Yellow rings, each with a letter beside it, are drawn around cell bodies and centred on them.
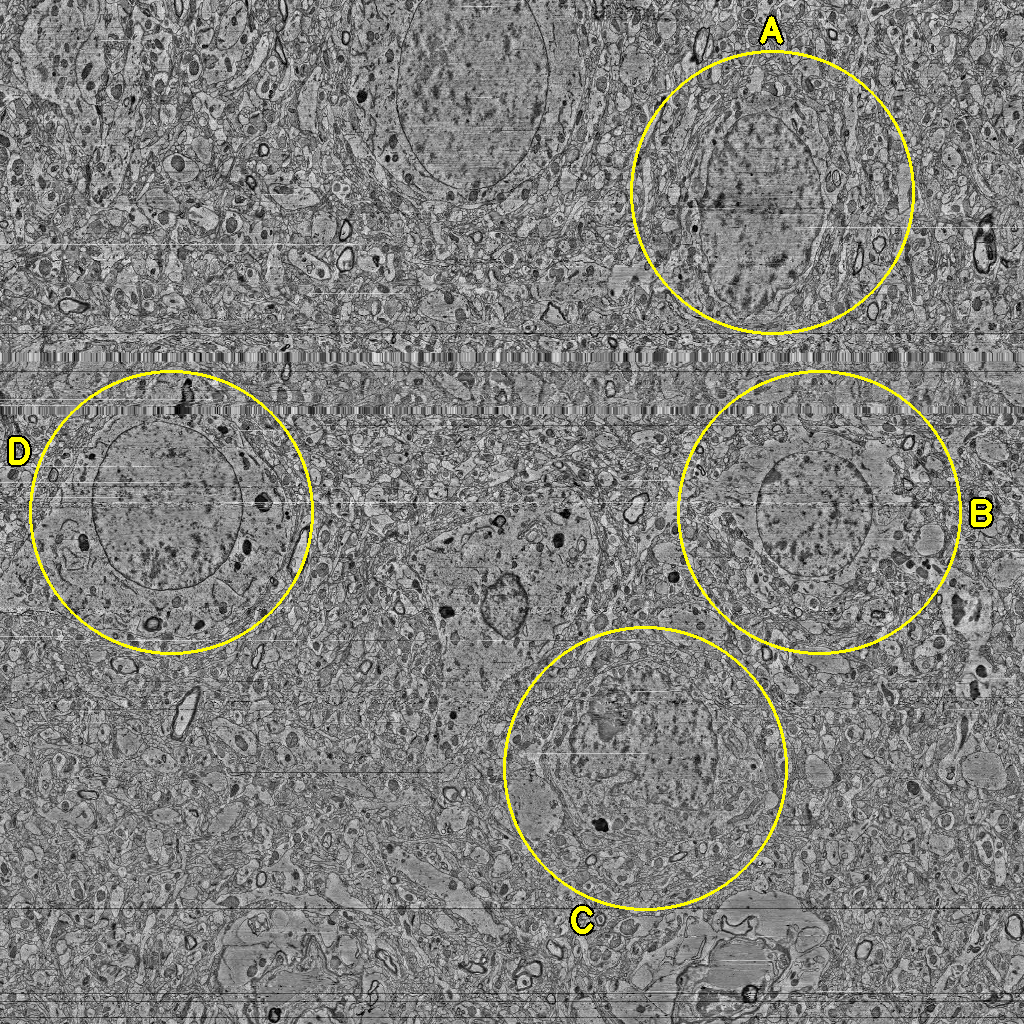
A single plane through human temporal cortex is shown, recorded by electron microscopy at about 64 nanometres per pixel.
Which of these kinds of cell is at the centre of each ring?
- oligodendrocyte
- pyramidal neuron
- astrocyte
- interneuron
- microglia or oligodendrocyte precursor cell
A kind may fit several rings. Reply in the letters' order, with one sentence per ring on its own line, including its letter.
The cell in the middle of ring A is an interneuron.
The cell in the middle of ring B is an astrocyte.
The cell in the middle of ring C is an interneuron.
The cell in the middle of ring D is a pyramidal neuron.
